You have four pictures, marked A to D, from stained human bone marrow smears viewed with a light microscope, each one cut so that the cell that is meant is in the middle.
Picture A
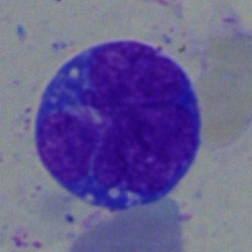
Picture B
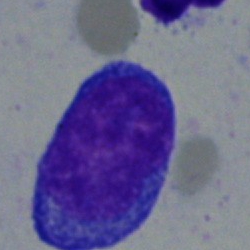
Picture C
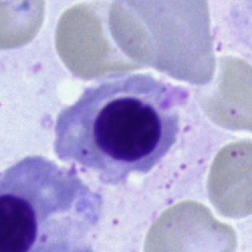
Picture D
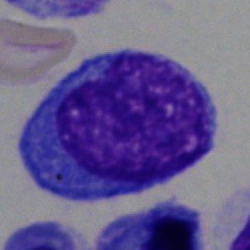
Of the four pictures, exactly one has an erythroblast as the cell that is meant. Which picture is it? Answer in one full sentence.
The picture with the erythroblast is C.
